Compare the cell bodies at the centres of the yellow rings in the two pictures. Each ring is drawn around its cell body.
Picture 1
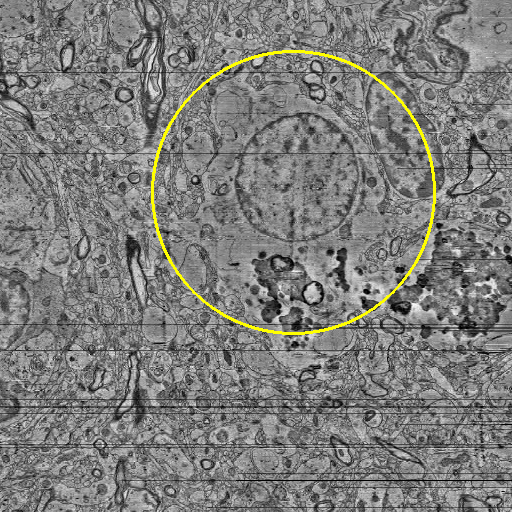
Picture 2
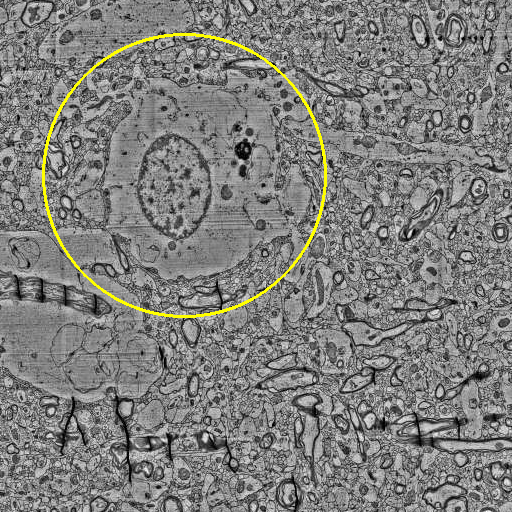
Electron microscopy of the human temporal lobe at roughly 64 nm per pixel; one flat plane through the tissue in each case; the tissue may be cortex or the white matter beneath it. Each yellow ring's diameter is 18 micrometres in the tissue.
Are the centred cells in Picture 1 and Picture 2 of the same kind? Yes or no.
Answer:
yes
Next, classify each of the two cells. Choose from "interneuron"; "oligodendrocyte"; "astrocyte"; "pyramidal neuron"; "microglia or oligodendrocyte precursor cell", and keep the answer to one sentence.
Both cells are the same kind, each one being an astrocyte.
